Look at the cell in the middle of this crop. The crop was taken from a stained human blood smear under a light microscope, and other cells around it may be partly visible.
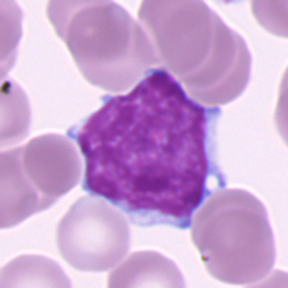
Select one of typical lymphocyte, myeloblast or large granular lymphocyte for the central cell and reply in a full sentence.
As for the central cell, it is a typical lymphocyte.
